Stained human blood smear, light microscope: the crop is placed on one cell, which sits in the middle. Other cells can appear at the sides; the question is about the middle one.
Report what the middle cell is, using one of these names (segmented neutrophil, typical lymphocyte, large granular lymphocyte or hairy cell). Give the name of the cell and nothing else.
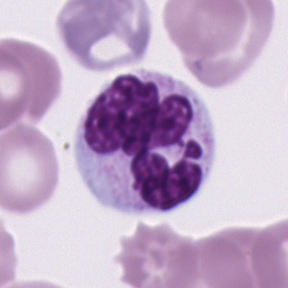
segmented neutrophil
